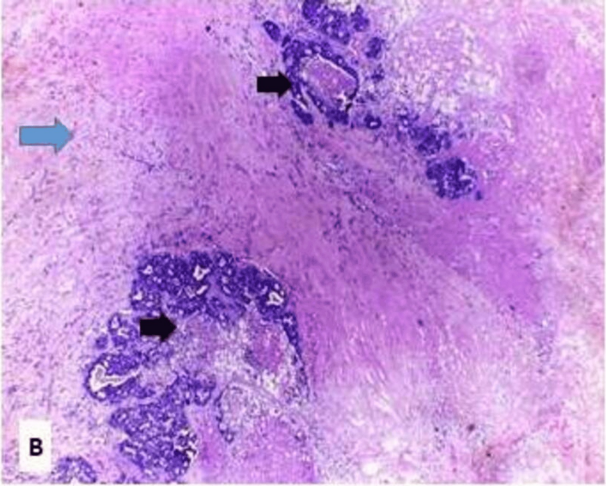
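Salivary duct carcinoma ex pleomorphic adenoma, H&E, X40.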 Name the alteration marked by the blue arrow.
chondromatous and hyalinized change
